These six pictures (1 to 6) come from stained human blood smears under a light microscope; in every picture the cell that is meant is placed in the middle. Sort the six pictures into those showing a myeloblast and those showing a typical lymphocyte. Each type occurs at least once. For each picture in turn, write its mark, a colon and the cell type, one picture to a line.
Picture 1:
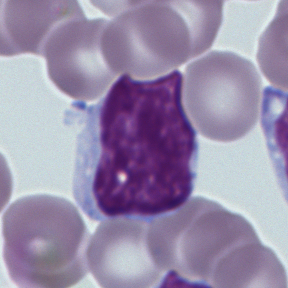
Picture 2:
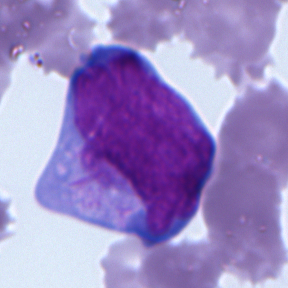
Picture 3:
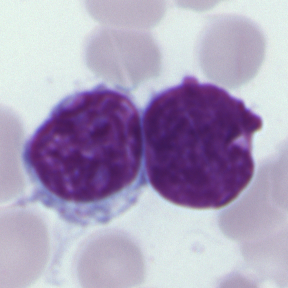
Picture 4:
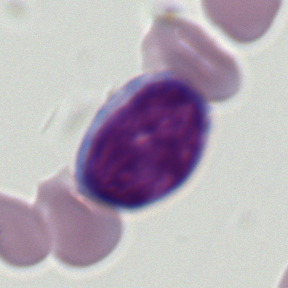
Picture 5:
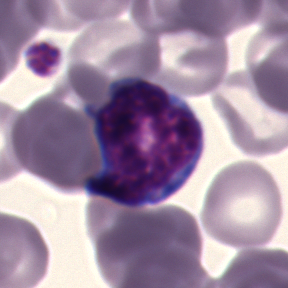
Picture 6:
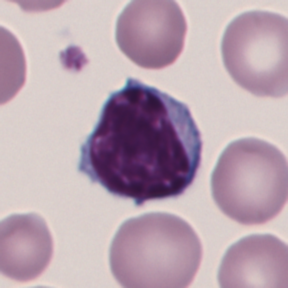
1: typical lymphocyte
2: myeloblast
3: myeloblast
4: myeloblast
5: typical lymphocyte
6: typical lymphocyte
